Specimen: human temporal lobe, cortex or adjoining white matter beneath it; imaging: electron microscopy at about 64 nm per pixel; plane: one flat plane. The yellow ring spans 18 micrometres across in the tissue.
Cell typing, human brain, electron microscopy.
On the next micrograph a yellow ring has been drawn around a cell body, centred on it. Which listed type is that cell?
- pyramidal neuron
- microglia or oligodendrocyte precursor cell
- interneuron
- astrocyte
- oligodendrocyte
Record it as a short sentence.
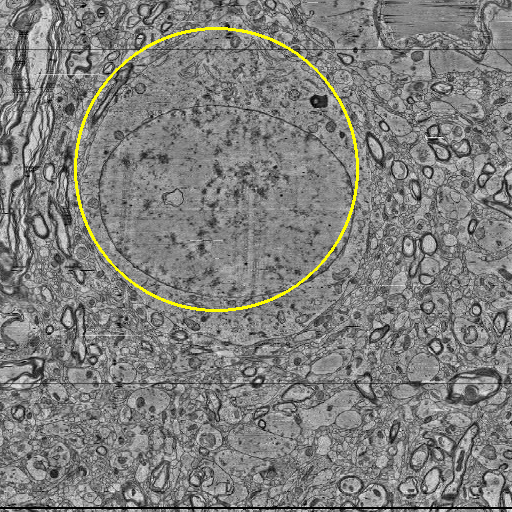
The cell body in the ring's centre belongs to a pyramidal neuron.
